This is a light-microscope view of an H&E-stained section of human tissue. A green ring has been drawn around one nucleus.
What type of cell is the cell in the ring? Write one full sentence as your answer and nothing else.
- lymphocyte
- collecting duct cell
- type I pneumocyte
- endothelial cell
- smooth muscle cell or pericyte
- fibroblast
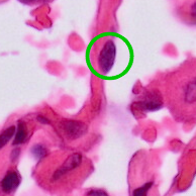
By its classification, the cell in the ring is a type I pneumocyte.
